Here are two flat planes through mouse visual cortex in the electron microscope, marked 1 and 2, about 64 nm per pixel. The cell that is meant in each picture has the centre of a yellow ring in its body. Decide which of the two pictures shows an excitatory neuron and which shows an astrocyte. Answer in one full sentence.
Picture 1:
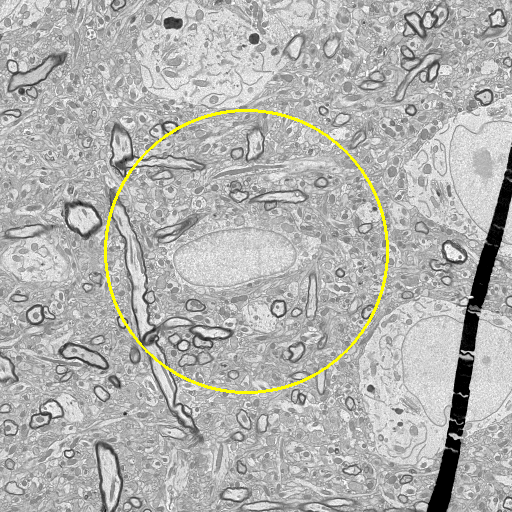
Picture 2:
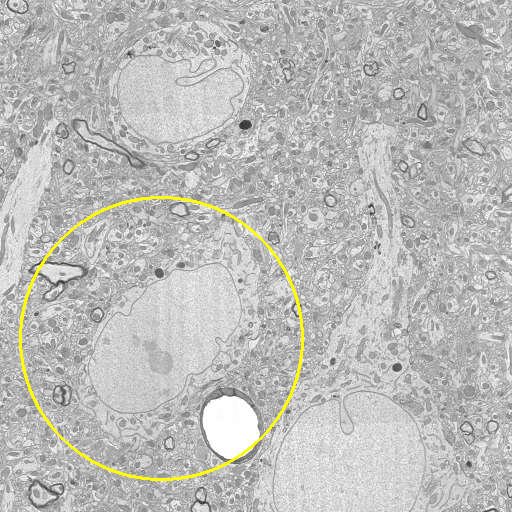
In picture 1 the cell is an astrocyte; in picture 2, an excitatory neuron.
